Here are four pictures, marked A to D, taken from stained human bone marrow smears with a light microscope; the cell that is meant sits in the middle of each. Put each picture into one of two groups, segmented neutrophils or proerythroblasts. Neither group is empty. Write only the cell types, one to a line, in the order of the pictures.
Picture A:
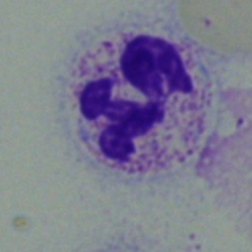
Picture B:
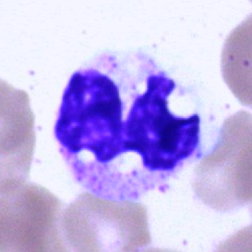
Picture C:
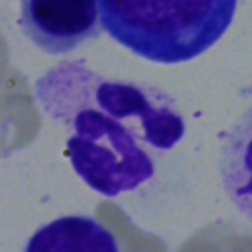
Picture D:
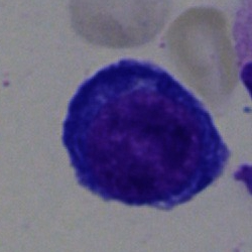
segmented neutrophil
segmented neutrophil
segmented neutrophil
proerythroblast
